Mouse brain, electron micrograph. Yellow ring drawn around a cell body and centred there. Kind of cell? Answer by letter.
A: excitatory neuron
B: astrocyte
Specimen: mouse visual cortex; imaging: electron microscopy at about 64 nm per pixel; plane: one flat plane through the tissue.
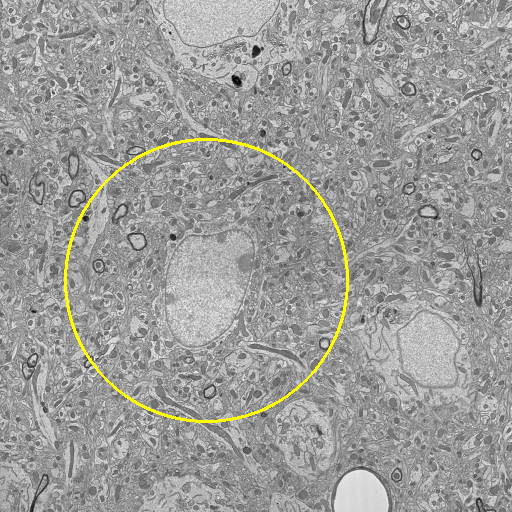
B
